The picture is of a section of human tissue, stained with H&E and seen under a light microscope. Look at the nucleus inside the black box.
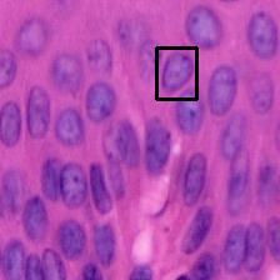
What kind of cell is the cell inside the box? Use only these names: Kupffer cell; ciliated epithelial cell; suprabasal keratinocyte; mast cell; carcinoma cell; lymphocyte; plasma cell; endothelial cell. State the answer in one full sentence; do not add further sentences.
Just put down that the cell inside the box is a suprabasal keratinocyte.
